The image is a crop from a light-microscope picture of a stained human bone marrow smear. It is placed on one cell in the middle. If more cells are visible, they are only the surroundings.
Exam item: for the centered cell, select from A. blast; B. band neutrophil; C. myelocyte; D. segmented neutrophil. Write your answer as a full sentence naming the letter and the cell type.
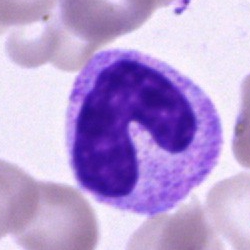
Option B is the right one, for the cell in the middle is a band neutrophil.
